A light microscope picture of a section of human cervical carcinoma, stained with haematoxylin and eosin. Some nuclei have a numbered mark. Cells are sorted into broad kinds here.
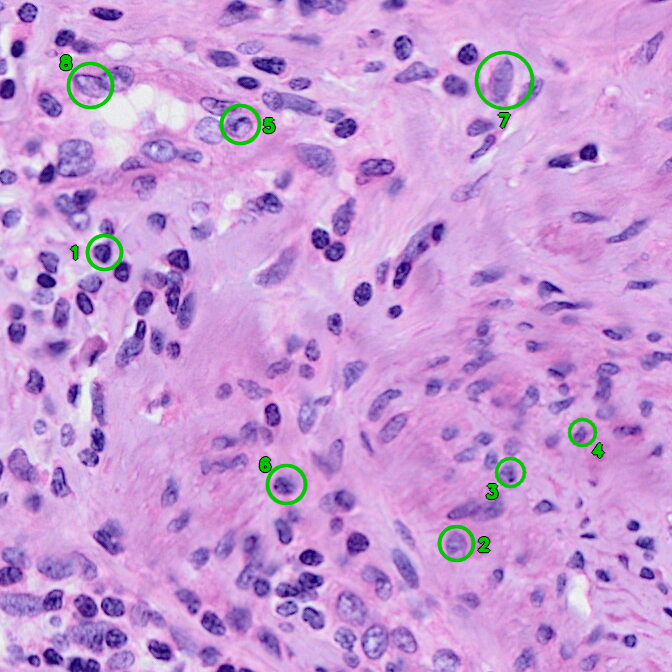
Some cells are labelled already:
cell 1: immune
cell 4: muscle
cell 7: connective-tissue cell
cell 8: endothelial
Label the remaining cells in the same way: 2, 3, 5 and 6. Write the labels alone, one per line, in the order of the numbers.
muscle
muscle
endothelial
immune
